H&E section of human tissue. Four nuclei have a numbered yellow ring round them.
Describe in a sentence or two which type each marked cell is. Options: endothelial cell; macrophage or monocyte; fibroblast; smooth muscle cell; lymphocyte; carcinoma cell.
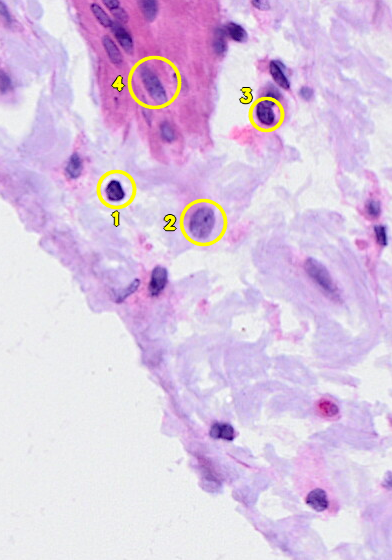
Cell 1 is a lymphocyte, cell 2 is a fibroblast, cell 3 is an endothelial cell and cell 4 is a smooth muscle cell.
